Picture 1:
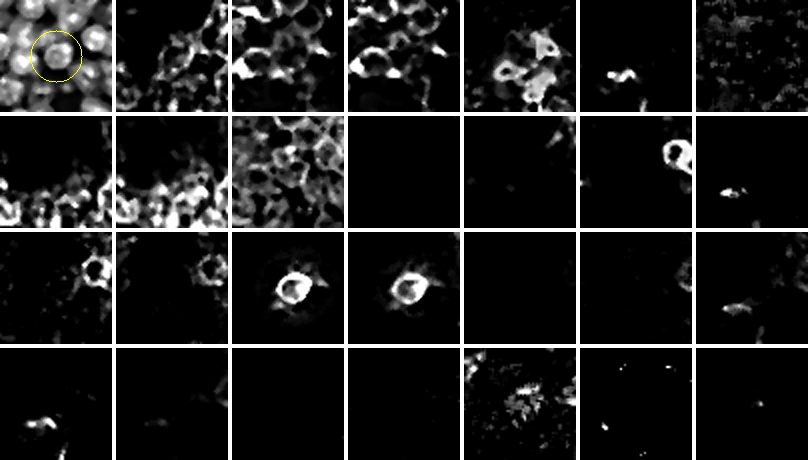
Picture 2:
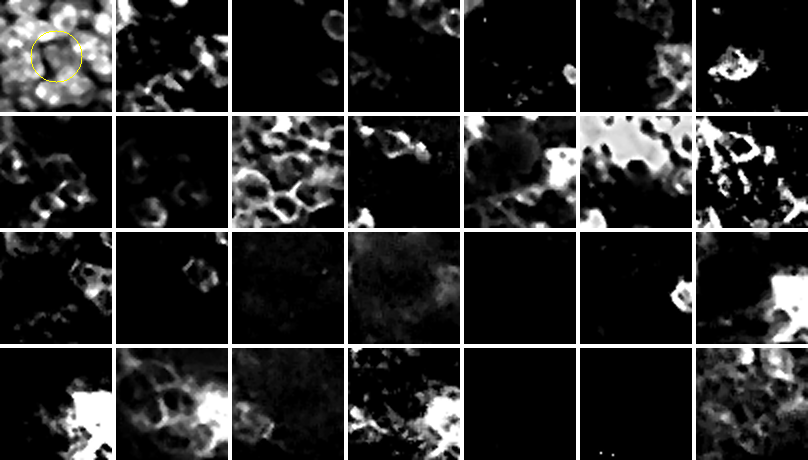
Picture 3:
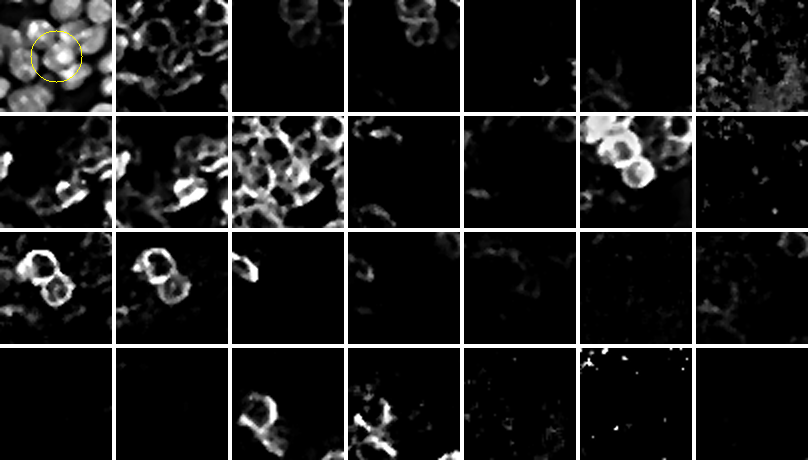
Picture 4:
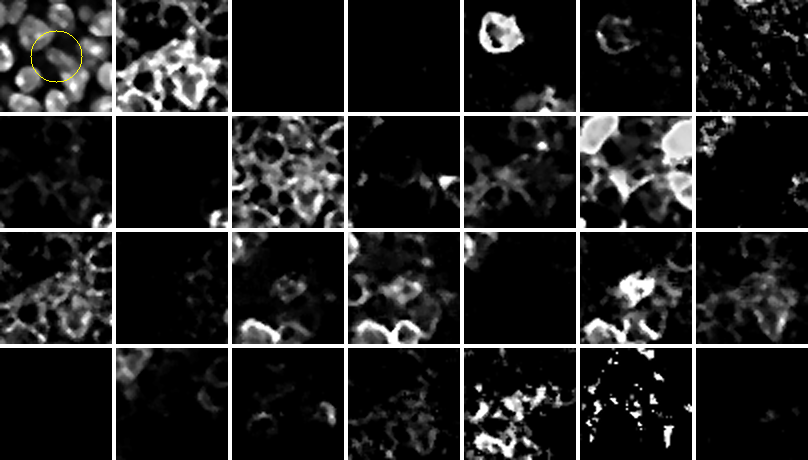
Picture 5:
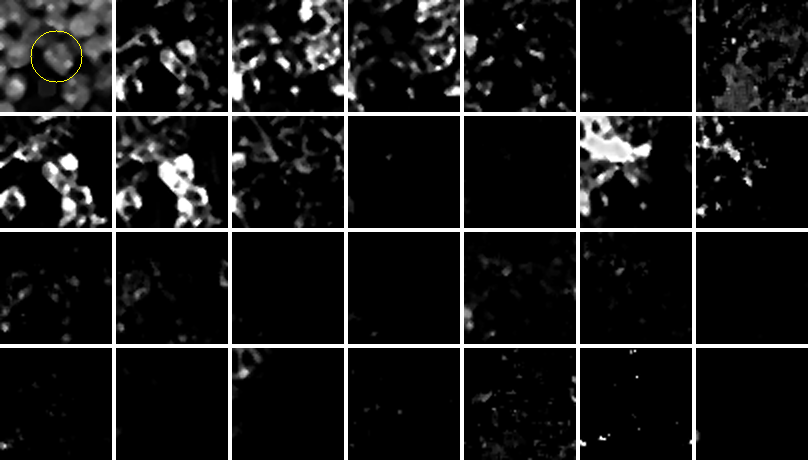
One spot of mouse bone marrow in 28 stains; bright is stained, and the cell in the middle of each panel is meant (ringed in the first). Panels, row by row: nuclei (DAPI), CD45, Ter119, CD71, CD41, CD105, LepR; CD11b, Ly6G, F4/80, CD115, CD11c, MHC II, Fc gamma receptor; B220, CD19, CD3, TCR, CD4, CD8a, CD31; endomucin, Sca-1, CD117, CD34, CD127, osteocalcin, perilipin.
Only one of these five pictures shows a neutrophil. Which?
Picture 5.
